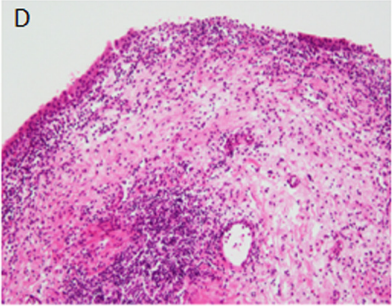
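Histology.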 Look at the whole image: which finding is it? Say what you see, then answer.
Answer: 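A dense cluster of small dark round nuclei lies in the stroma below the surface. Scattered inflammatory cells fill the surrounding stroma. That points to this answer: focal aggregate of lymphocytes.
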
